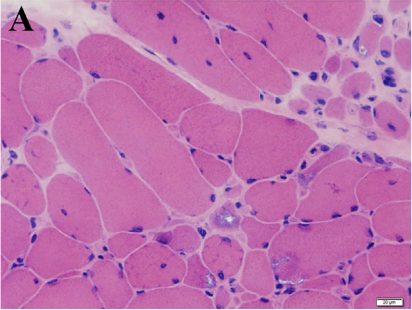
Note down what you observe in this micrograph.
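Cross-sectioned skeletal muscle fibers with pink cytoplasm and dark peripheral nuclei vary greatly in size, from small rounded fibers to large elongated ones lying side by side. Interstitial spaces between fibers hold scattered nuclei, and a few fibers show small clear spaces. This is skeletal muscle with obvious variation in fiber size.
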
